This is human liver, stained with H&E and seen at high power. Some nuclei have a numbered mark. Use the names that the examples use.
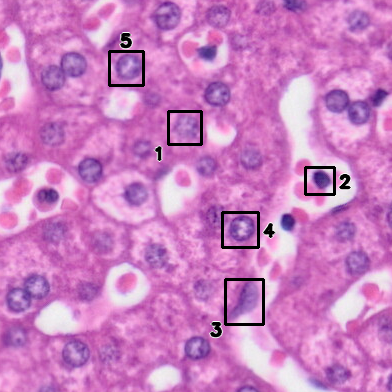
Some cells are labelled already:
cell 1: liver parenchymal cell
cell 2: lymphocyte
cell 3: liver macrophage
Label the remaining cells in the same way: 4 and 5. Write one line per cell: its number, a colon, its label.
4: liver parenchymal cell
5: liver parenchymal cell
